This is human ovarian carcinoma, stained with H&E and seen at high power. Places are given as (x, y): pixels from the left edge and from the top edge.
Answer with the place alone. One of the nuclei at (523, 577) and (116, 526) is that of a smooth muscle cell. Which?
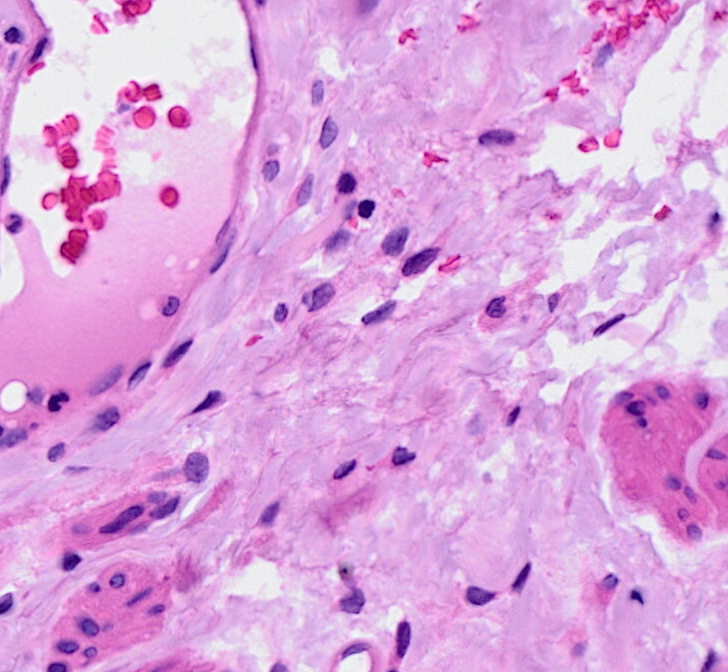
(116, 526)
